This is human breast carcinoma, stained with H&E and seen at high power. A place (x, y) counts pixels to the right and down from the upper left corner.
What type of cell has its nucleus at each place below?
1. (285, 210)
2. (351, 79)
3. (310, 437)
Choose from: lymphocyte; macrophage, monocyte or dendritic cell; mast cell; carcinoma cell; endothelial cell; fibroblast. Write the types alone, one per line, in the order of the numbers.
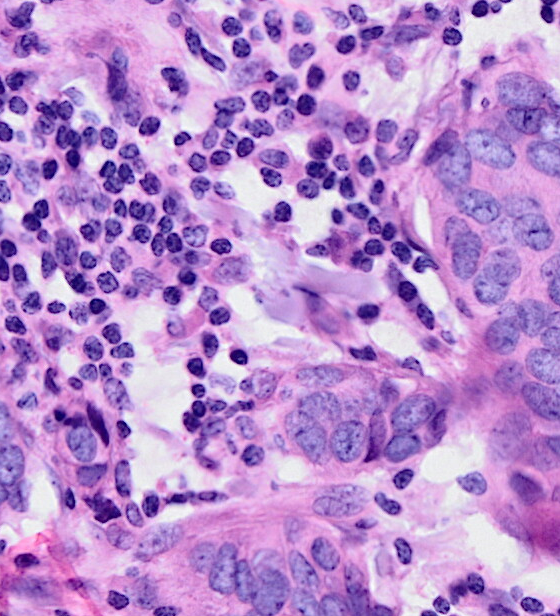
lymphocyte
lymphocyte
carcinoma cell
